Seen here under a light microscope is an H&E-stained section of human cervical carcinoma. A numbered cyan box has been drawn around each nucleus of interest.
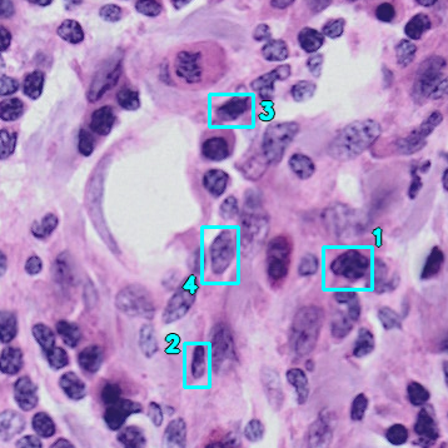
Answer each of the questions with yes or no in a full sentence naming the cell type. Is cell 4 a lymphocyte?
No, at number 4 sits a macrophage or monocyte, not a lymphocyte.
